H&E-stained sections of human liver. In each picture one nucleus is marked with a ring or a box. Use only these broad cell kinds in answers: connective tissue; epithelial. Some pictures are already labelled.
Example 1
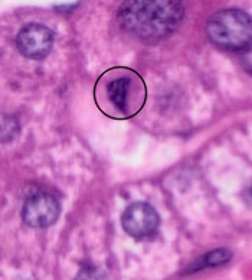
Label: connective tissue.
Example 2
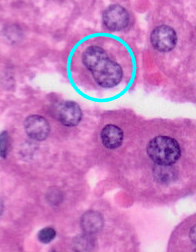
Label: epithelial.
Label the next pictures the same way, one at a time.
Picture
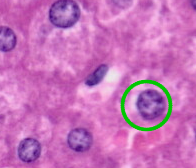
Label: epithelial.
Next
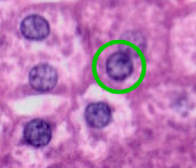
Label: epithelial.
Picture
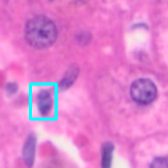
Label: connective tissue.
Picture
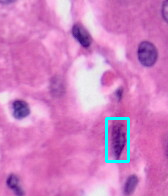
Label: connective tissue.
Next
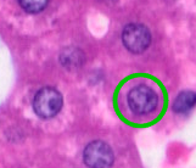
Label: epithelial.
